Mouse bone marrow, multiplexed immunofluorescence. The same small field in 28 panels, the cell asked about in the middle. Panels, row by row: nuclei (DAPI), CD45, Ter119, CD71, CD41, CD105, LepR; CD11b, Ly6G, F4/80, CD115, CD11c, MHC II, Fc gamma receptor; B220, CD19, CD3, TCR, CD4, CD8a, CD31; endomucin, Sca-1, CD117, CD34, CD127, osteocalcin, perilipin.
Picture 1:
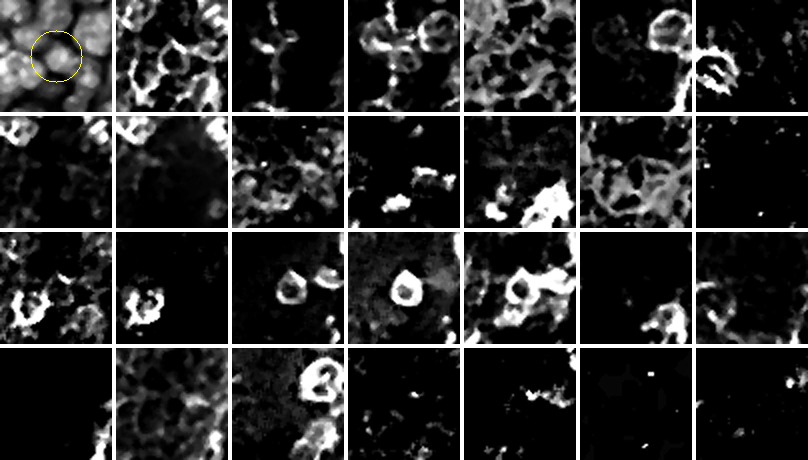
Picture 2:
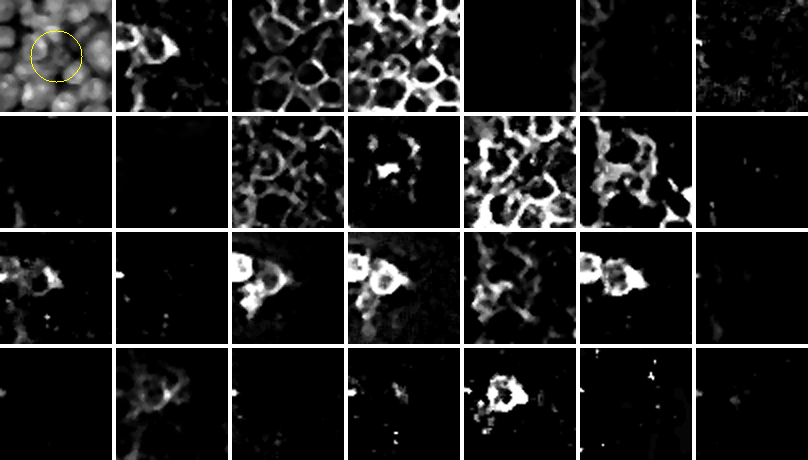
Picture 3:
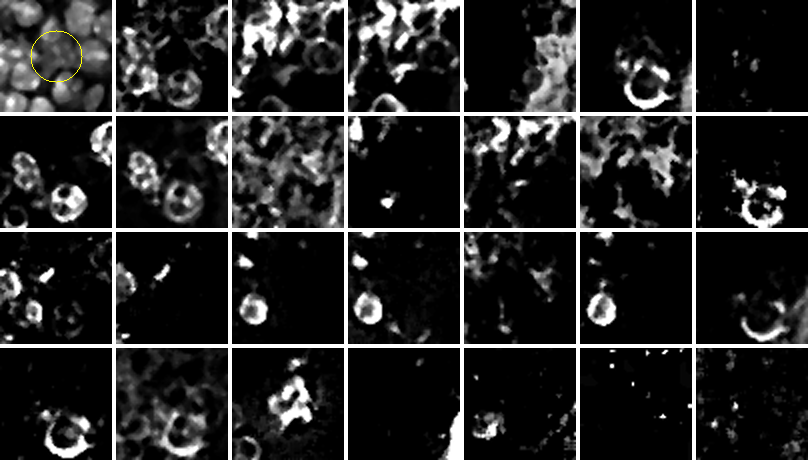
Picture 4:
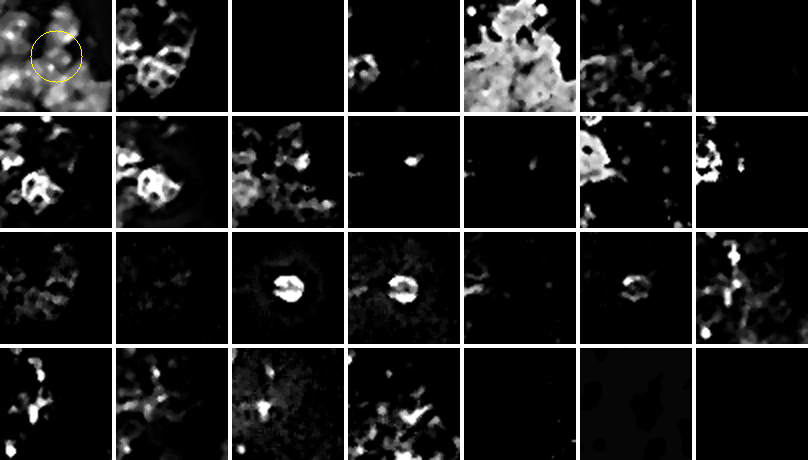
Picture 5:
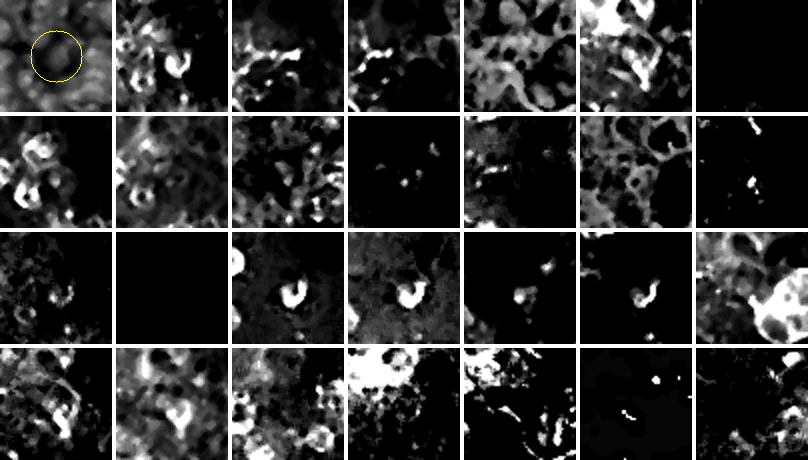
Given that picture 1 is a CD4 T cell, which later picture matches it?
5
